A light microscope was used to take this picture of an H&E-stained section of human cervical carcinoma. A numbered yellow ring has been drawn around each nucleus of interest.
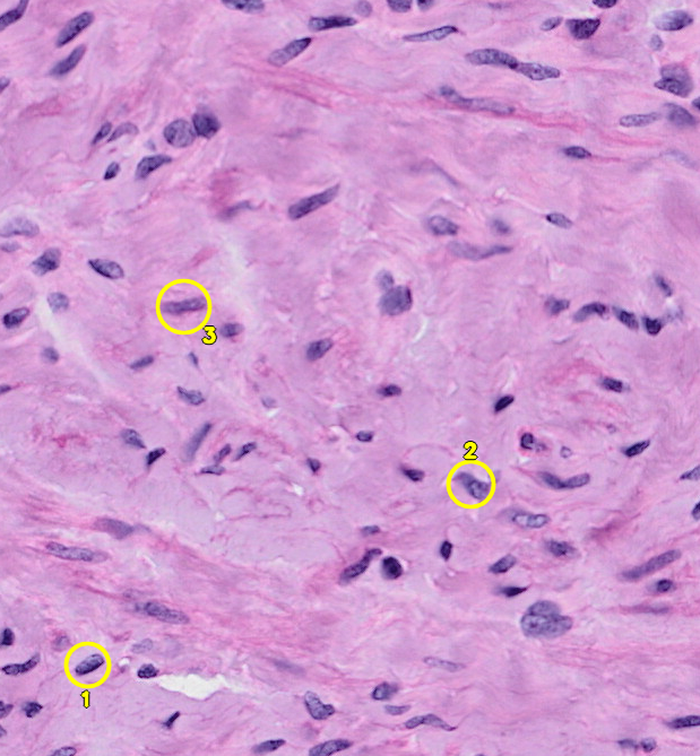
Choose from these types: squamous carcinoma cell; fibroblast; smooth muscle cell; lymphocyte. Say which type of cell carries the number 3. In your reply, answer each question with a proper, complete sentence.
The cell to which the number 3 is assigned is a smooth muscle cell.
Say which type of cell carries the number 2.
The one labeled 2 is a fibroblast, to put it simply.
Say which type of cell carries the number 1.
What the number 1 marks in this field is a fibroblast.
